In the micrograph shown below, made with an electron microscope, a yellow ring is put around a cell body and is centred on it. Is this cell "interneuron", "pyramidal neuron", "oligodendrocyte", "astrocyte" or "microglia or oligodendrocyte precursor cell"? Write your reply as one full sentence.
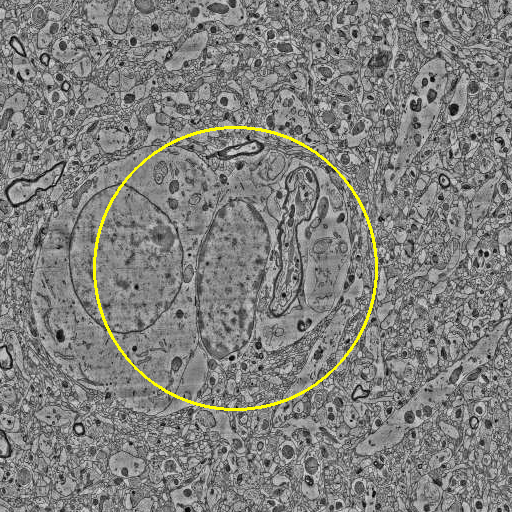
In the micrograph, a microglial cell or oligodendrocyte precursor cell is the cell at the centre of the yellow ring.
